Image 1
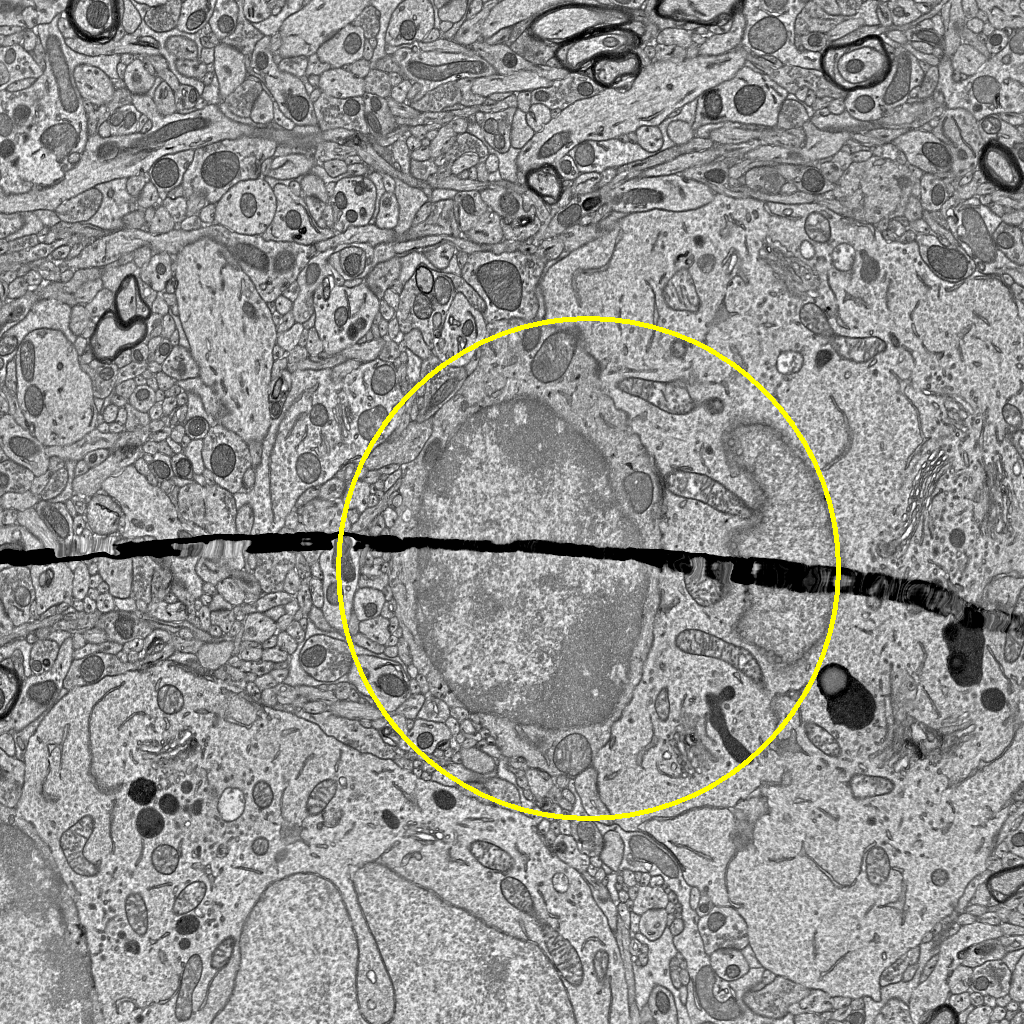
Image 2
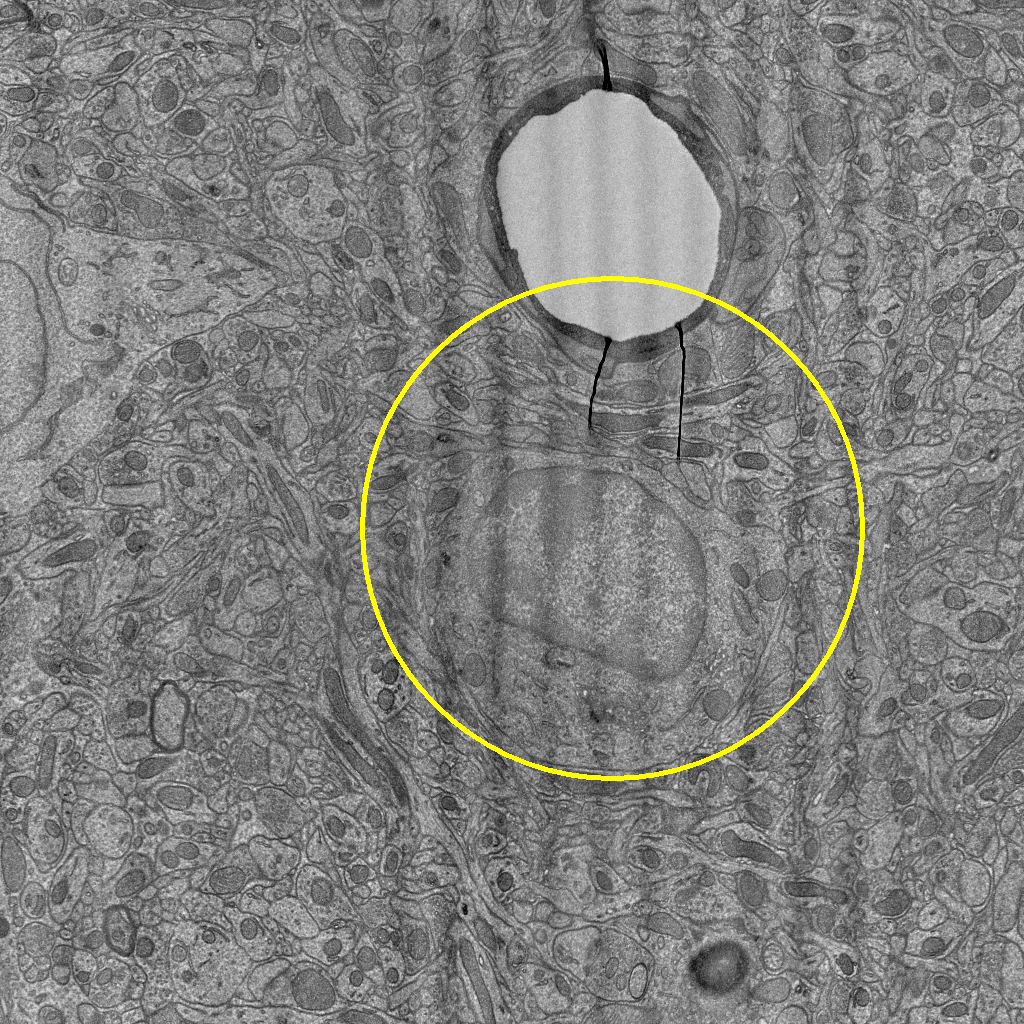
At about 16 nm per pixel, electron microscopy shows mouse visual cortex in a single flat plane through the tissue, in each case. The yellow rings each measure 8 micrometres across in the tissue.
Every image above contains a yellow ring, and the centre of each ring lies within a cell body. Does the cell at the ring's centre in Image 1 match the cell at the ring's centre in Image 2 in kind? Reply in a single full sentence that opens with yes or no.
Yes, the cell at the ring's centre in Image 1 is the same kind as that in Image 2.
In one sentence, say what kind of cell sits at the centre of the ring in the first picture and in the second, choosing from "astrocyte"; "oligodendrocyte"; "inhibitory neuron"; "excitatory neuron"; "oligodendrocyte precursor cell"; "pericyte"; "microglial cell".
Each of the two cells is an oligodendrocyte.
